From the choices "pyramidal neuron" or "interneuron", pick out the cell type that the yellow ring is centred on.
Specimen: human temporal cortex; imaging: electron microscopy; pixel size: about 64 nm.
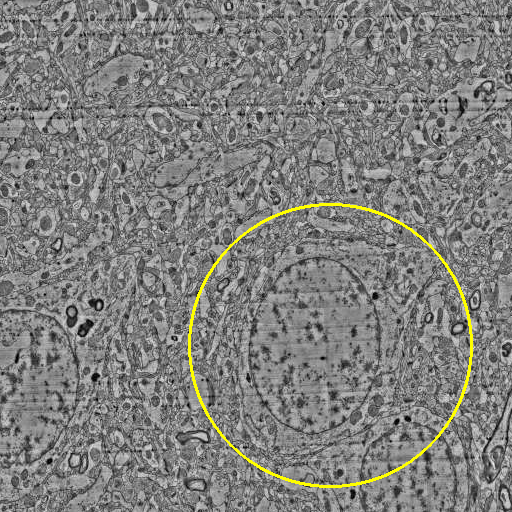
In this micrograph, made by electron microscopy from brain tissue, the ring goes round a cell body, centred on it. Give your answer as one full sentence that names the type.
The yellow ring is centred on a pyramidal neuron, whose cell body it encircles in the picture.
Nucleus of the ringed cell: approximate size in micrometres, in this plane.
Roughly 11 by 8 micrometres is the size of the nucleus in this plane.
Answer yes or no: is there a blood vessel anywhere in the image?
No.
